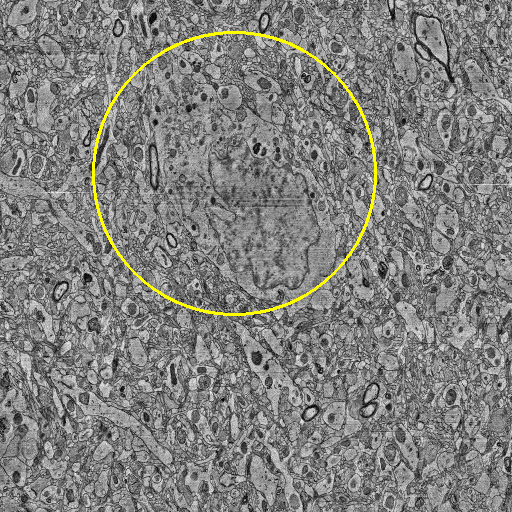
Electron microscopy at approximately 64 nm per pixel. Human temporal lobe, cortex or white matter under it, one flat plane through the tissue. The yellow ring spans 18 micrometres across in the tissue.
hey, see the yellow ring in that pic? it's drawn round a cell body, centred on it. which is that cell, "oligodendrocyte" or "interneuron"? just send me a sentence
The cell in the ring is an interneuron.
